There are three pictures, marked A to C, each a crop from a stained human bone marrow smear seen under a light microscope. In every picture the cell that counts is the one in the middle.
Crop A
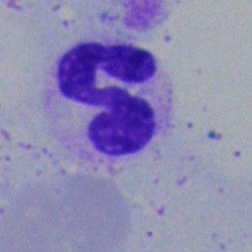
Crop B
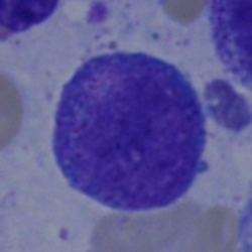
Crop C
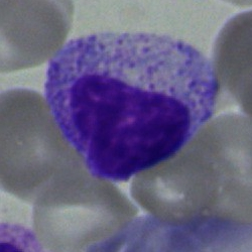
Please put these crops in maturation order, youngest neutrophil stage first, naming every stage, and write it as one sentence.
Arranged by increasing maturity, the sequence is crop B (a promyelocyte), crop C (a myelocyte) and crop A (a segmented neutrophil).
